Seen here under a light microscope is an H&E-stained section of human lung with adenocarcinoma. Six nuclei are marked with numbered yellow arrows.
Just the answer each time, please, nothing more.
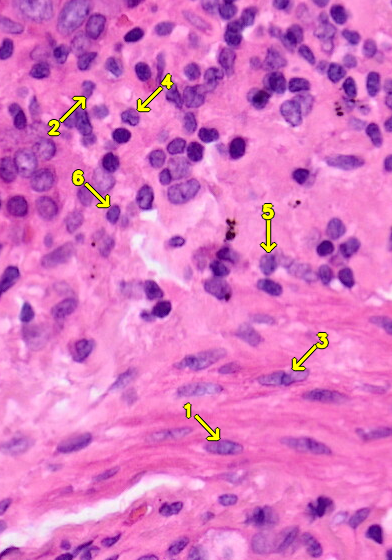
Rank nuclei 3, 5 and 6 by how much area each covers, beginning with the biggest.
3, 5, 6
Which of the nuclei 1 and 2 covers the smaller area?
2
